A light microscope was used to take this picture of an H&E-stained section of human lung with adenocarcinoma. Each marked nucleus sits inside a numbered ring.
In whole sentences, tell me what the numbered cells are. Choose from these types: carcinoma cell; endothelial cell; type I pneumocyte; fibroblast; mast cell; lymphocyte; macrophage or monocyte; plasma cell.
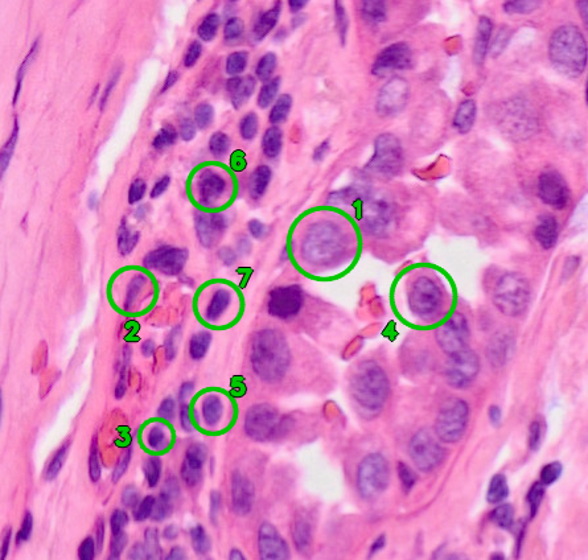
Cells 1 and 4 are carcinoma cells. Cell 2 is an endothelial cell. Cells 3, 5 and 7 are lymphocytes. Cell 6 is a plasma cell.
